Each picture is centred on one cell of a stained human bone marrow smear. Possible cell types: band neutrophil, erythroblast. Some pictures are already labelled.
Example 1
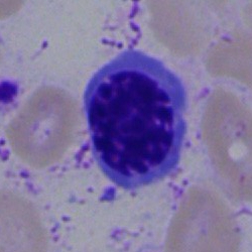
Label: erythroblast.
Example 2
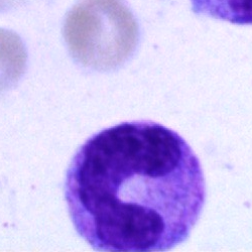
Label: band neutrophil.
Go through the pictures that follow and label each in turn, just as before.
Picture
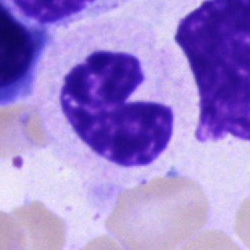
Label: band neutrophil.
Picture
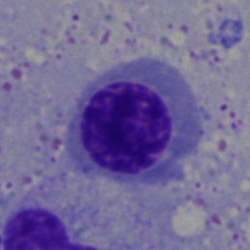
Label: erythroblast.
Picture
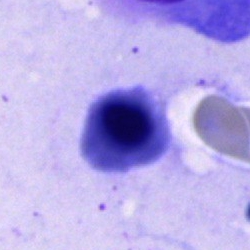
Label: erythroblast.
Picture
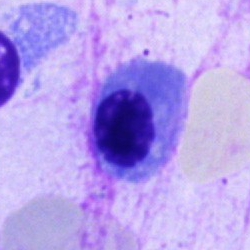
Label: erythroblast.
